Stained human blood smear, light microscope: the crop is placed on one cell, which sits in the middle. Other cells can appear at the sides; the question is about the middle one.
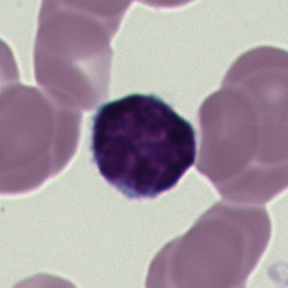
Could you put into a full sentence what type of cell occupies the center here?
In the middle of this smear crop, the cell is a typical lymphocyte.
